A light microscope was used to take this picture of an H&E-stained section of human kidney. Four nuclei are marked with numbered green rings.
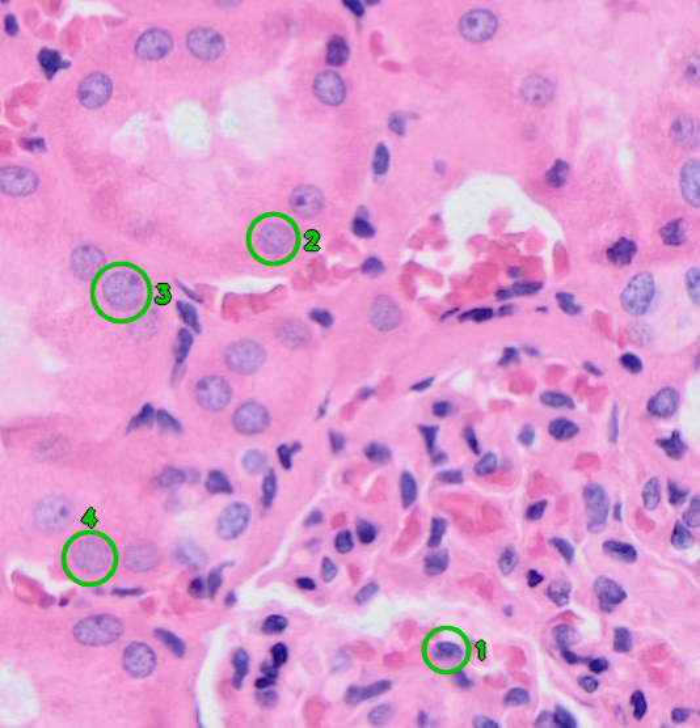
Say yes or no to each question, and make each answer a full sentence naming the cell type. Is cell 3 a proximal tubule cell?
Yes, with respect to number 3, the cell is a proximal tubule cell.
